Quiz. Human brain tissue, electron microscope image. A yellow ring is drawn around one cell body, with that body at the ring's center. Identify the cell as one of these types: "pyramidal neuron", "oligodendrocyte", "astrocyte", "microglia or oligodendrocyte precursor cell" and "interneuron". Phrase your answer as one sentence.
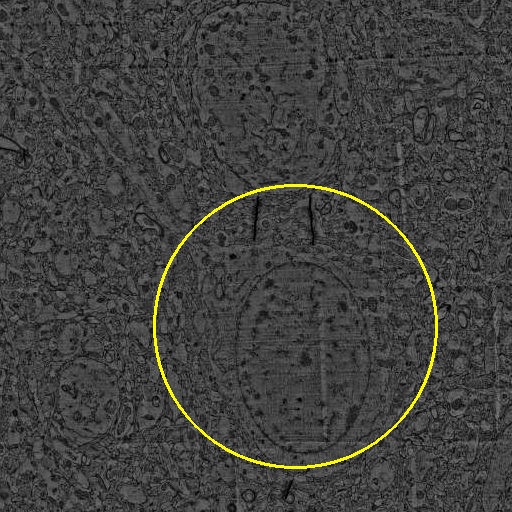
At the center of the ring sits a pyramidal neuron.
